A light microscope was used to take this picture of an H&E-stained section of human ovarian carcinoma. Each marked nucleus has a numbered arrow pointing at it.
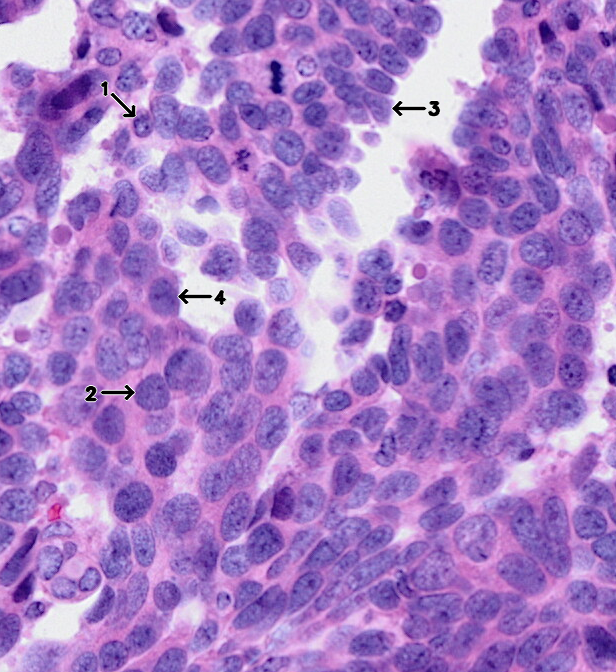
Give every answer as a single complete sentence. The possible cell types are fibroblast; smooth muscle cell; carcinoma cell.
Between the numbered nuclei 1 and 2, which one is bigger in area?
Nucleus 2 is the larger one, covering about 3 times the area of nucleus 1.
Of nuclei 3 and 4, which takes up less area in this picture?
It is nucleus 3; nucleus 4 has about 1.5 times its area.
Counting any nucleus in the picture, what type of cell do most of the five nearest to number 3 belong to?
Of the five nuclei nearest to number 3, most belong to carcinoma cells.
